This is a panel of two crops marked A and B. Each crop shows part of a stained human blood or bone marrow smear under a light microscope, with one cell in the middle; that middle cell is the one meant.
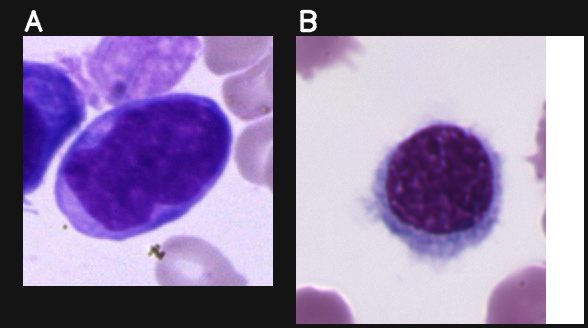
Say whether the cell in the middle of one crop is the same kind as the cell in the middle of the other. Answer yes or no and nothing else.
no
